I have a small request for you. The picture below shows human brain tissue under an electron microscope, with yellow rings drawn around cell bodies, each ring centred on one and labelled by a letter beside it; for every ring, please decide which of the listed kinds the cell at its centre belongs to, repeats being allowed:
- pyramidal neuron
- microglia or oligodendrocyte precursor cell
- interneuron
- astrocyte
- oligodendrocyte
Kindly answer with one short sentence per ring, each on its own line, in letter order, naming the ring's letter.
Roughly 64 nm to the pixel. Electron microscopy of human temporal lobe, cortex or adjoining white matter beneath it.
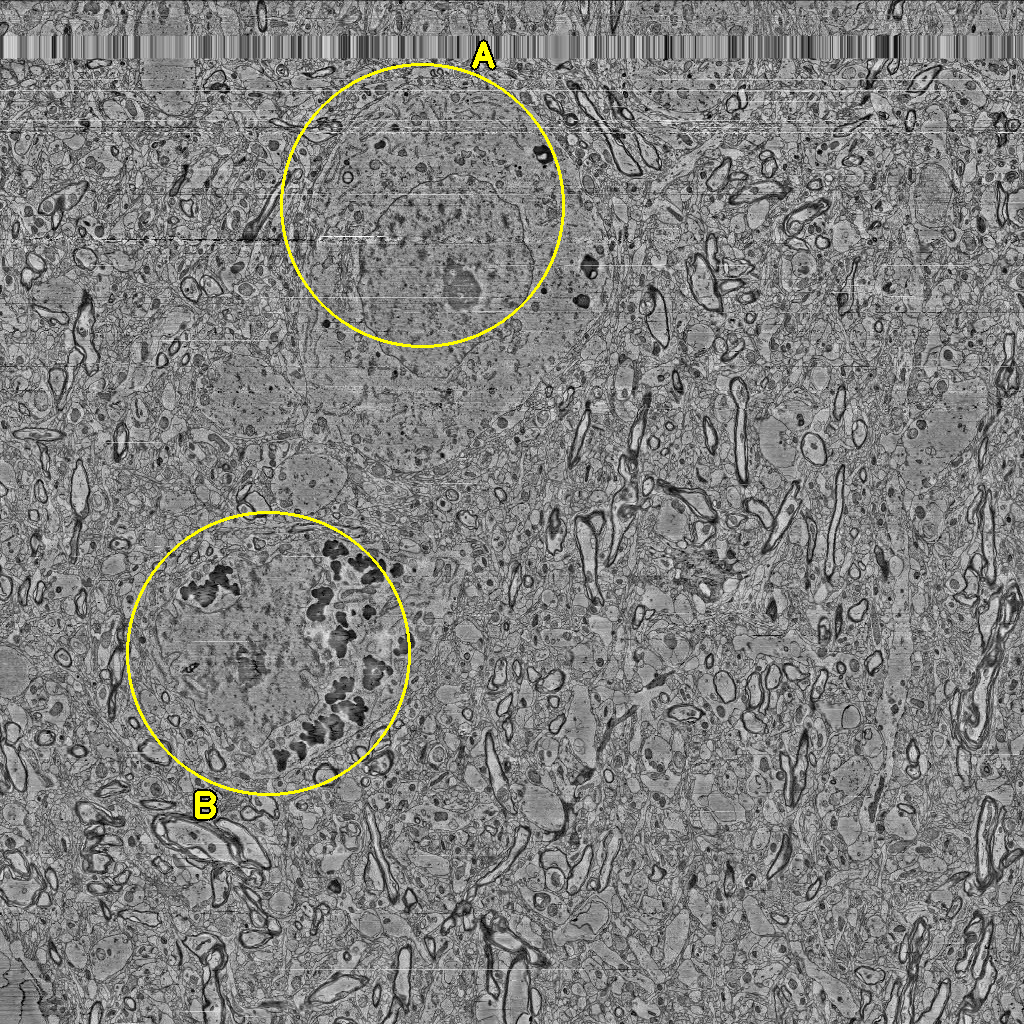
Ring A shows a pyramidal neuron at its centre.
Ring B shows an interneuron at its centre.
